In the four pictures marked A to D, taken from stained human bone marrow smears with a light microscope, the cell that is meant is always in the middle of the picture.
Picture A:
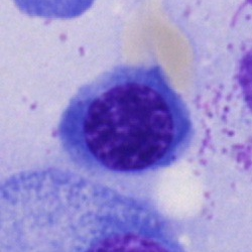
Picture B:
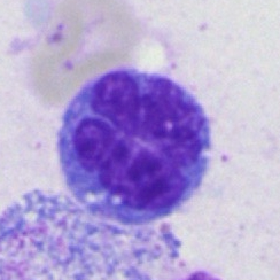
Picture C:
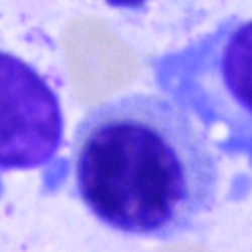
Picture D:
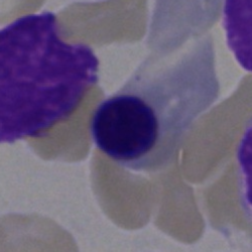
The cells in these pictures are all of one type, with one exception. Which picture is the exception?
B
